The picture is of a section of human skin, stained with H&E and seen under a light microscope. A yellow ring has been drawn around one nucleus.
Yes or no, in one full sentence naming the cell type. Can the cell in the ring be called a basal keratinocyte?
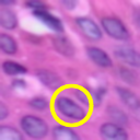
Yes, a basal keratinocyte is what the cell in the ring is in this section.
